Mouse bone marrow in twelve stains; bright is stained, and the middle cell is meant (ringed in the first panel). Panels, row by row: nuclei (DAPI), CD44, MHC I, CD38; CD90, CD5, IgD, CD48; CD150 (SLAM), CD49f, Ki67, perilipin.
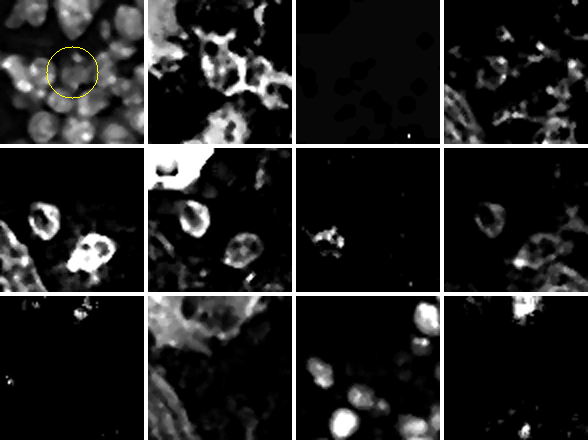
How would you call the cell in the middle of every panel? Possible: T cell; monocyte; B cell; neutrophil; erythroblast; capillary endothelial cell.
I would call it a neutrophil.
